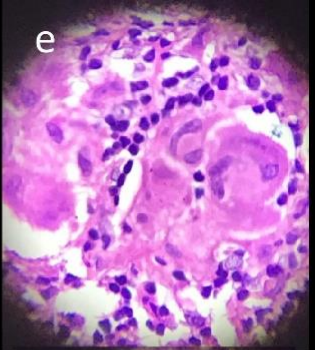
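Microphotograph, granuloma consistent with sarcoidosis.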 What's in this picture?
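Several large multinucleate giant cells with broad pink cytoplasm lie side by side, their nuclei oval and grouped within the cytoplasm. Small lymphocytes with round, dark purple nuclei lie in the spaces between the giant cells.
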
